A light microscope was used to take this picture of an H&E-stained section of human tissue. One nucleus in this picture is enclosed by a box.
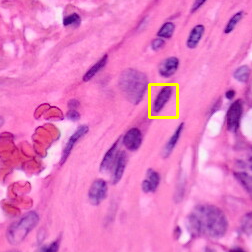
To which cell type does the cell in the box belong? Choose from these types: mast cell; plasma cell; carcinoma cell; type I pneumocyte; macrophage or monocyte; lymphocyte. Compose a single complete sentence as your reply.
Microscopically, the cell in the box is categorized as a plasma cell.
